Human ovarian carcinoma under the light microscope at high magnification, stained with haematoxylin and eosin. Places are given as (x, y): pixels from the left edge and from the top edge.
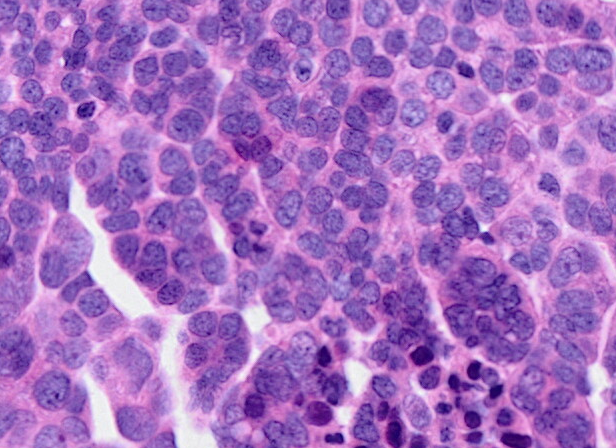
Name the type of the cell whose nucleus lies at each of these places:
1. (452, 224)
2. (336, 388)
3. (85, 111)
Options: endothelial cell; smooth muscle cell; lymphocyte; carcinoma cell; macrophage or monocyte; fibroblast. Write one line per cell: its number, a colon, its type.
1: carcinoma cell
2: carcinoma cell
3: lymphocyte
